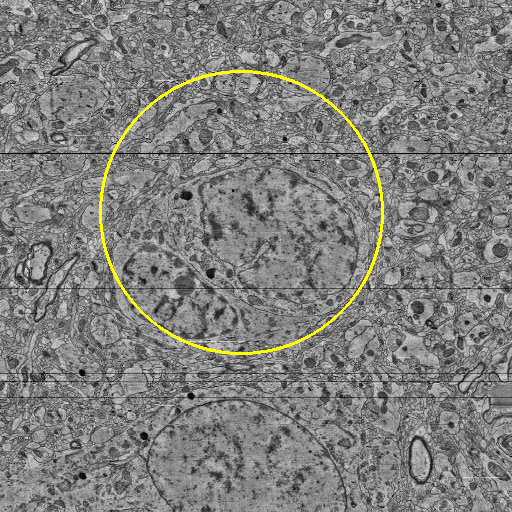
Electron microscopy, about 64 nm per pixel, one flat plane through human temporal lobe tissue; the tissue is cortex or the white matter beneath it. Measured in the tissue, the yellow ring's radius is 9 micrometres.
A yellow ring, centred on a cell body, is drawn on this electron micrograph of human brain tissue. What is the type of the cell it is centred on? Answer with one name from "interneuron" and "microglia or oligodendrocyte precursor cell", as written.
interneuron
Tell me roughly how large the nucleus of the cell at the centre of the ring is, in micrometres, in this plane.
About 11 micrometres by about 8 micrometres in this plane.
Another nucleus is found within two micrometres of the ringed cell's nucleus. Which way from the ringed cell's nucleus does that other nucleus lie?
That other nucleus lies to the lower left of it.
